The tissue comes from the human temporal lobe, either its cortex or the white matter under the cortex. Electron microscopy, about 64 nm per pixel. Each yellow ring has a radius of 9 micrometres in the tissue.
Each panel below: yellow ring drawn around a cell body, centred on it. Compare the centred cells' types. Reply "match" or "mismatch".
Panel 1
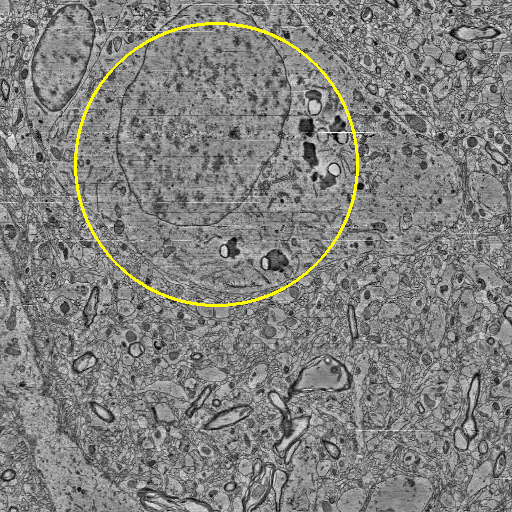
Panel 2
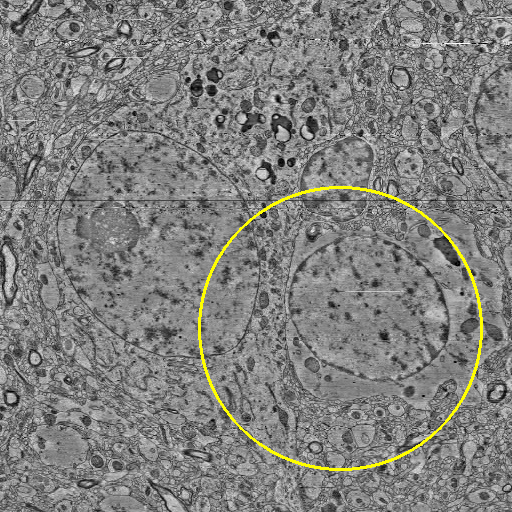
mismatch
